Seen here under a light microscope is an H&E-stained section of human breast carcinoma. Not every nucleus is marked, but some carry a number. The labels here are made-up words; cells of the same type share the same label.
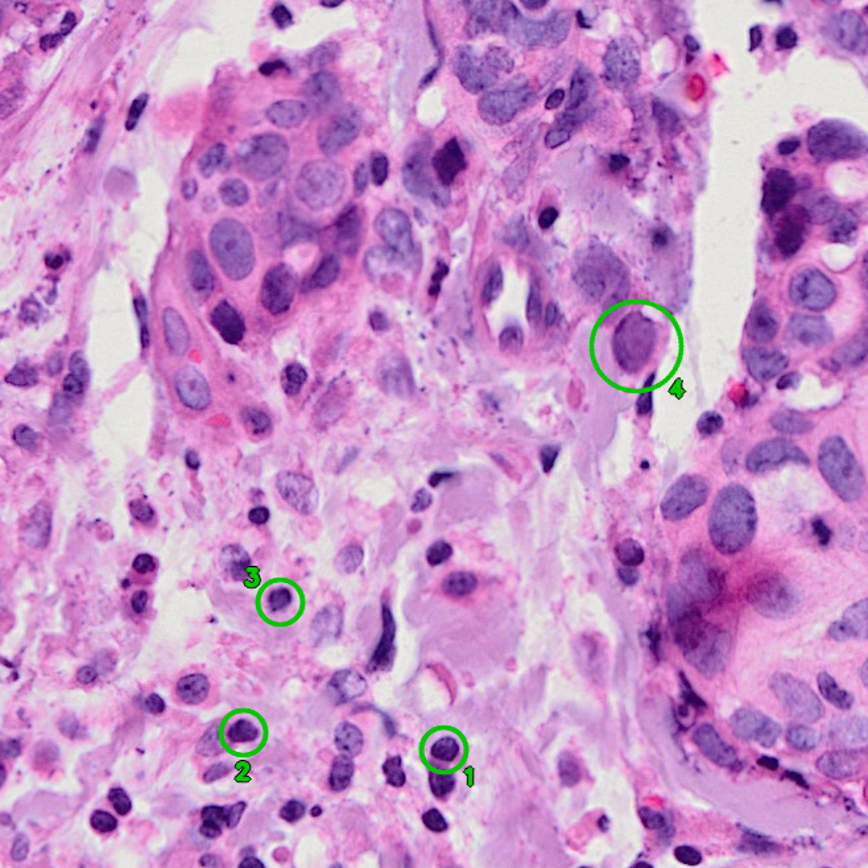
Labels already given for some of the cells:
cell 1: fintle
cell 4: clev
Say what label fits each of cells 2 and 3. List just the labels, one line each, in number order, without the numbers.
fintle
fintle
